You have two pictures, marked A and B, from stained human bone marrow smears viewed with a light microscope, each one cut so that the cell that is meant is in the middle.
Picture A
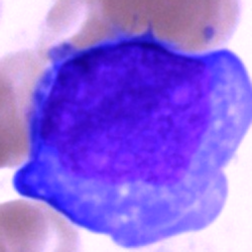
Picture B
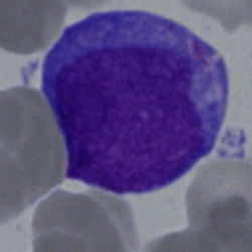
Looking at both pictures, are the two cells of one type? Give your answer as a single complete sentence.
Yes, they are the same type: both are blasts.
